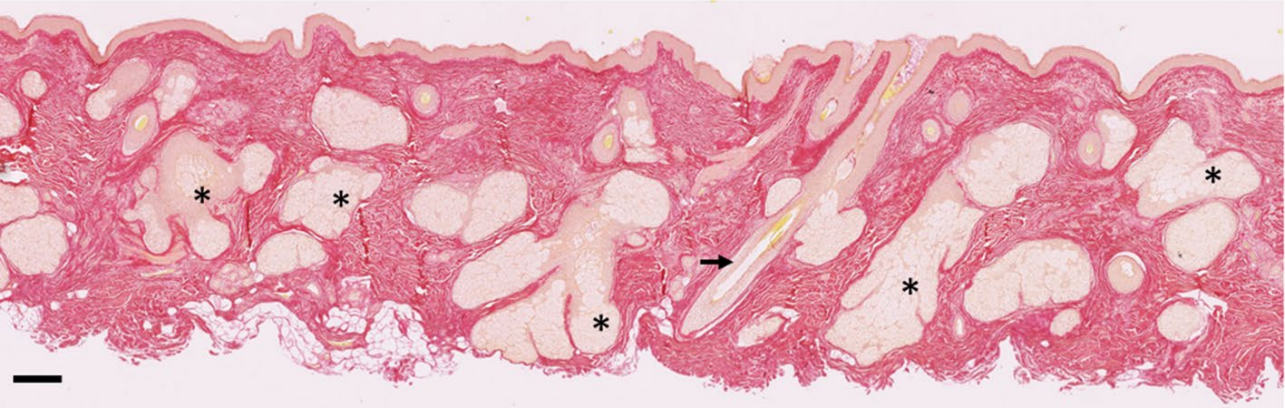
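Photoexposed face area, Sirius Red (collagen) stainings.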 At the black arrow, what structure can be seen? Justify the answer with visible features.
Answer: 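Hair follicles. The arrow points to an elongated oblique structure running down from the surface. A yellow hair shaft runs along its centre. It is sheathed by pale epithelial layers.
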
